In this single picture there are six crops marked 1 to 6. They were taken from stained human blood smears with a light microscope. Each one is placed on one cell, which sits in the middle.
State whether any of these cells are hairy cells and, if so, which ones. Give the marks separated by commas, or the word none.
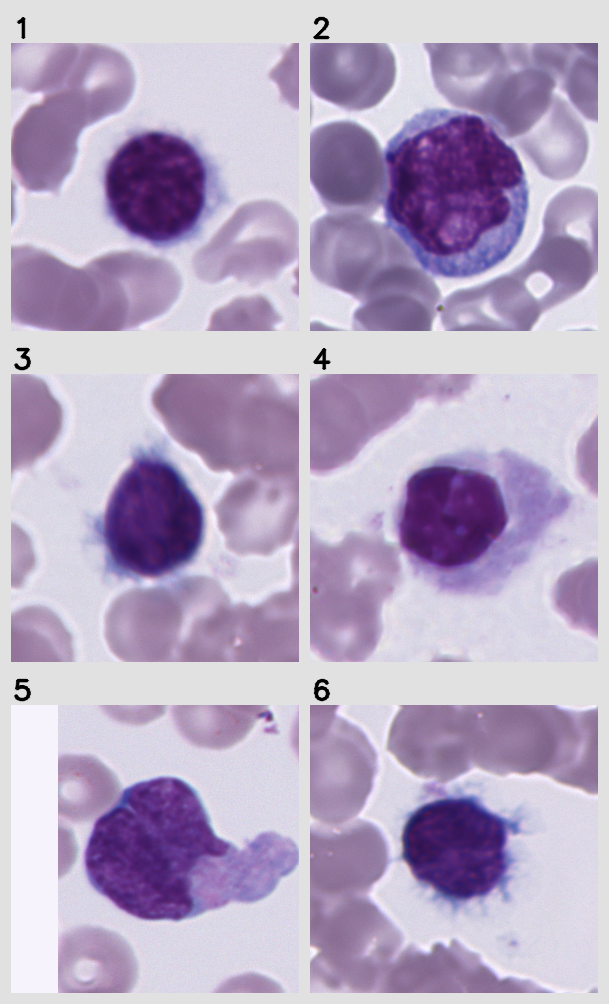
1, 3, 6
